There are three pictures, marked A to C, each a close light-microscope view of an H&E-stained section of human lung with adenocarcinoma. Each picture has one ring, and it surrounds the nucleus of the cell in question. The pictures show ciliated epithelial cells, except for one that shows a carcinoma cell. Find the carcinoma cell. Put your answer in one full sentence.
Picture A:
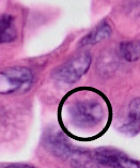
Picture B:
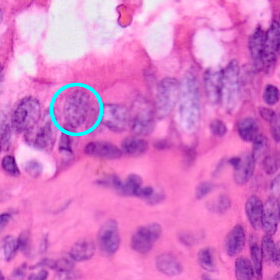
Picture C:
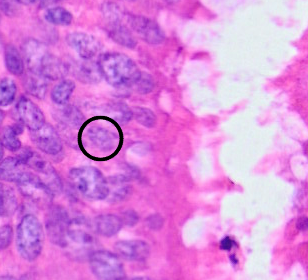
Picture A is the one that shows the carcinoma cell.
